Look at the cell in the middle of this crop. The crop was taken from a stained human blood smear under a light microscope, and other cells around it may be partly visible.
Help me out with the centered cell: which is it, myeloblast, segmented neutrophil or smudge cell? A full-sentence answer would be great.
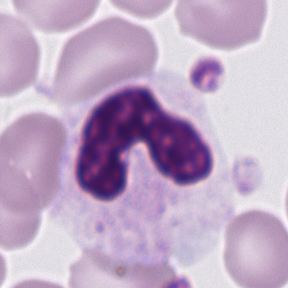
The centrally located cell in the crop is a segmented neutrophil.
